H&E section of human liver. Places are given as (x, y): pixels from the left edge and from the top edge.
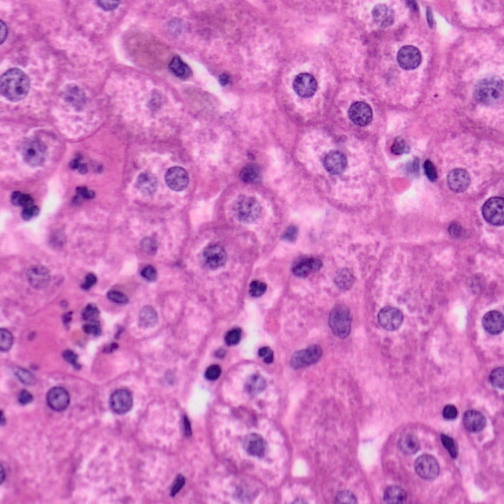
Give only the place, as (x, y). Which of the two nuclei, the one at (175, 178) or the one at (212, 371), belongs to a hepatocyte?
(175, 178)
